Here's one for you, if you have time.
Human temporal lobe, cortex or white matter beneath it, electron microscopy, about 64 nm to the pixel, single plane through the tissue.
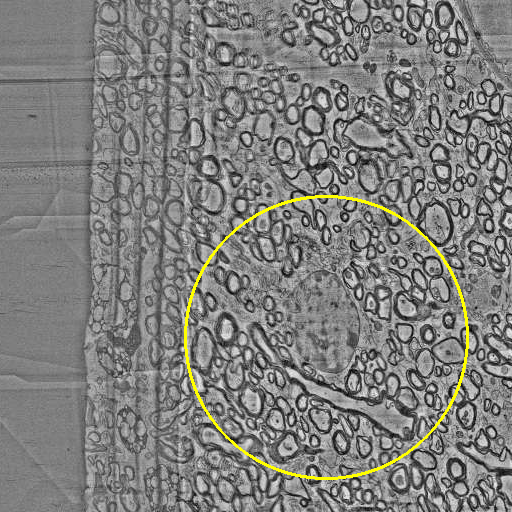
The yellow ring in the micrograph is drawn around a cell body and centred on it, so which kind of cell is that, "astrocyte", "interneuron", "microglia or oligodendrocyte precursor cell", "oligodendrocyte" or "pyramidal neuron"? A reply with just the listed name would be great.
microglia or oligodendrocyte precursor cell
